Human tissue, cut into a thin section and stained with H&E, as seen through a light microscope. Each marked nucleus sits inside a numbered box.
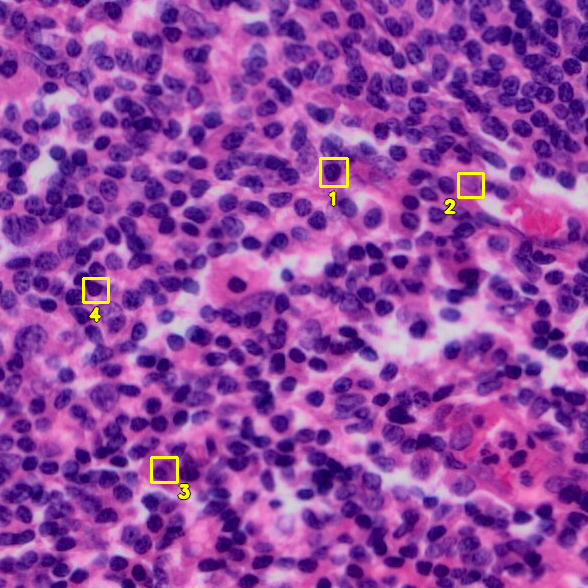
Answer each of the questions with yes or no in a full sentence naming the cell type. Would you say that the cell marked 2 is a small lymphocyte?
No, cell 2 is an endothelial cell; it is not a small lymphocyte.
